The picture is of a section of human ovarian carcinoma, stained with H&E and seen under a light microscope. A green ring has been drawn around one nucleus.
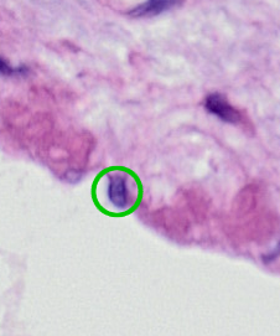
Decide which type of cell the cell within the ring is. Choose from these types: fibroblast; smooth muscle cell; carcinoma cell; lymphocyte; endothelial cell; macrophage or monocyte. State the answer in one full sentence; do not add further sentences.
The identity of the cell within the ring: it is an endothelial cell.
